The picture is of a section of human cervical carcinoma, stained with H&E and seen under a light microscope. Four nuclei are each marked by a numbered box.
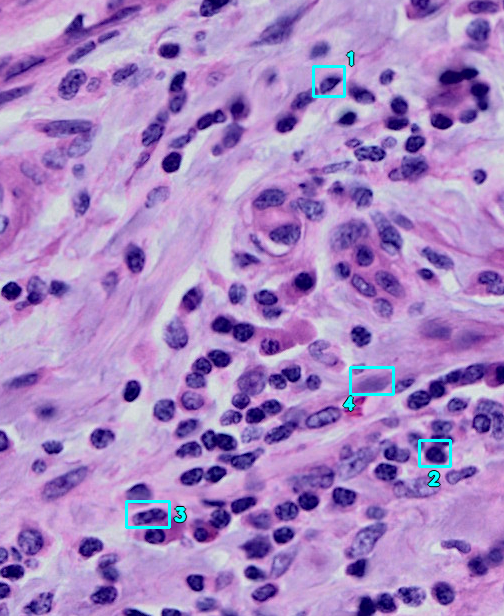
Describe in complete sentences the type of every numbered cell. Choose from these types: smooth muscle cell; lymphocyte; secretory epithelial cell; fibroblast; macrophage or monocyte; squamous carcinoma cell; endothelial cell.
Cell 1 is a lymphocyte, cell 2 is a lymphocyte, cell 3 is a lymphocyte and cell 4 is an endothelial cell.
